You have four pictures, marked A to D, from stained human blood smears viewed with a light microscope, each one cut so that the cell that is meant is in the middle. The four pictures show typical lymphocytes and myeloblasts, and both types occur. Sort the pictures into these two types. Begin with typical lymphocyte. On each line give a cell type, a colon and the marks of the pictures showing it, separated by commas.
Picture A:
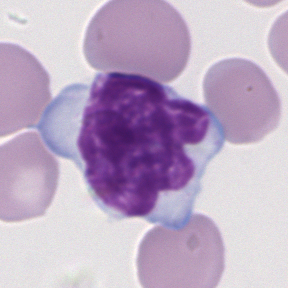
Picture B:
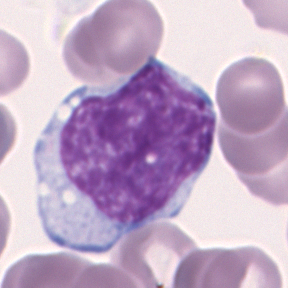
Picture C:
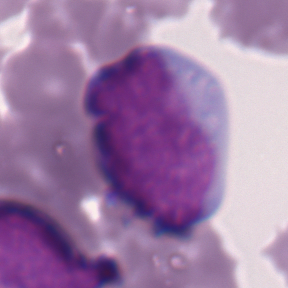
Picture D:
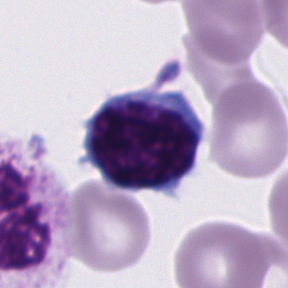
typical lymphocyte: D
myeloblast: A, B, C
